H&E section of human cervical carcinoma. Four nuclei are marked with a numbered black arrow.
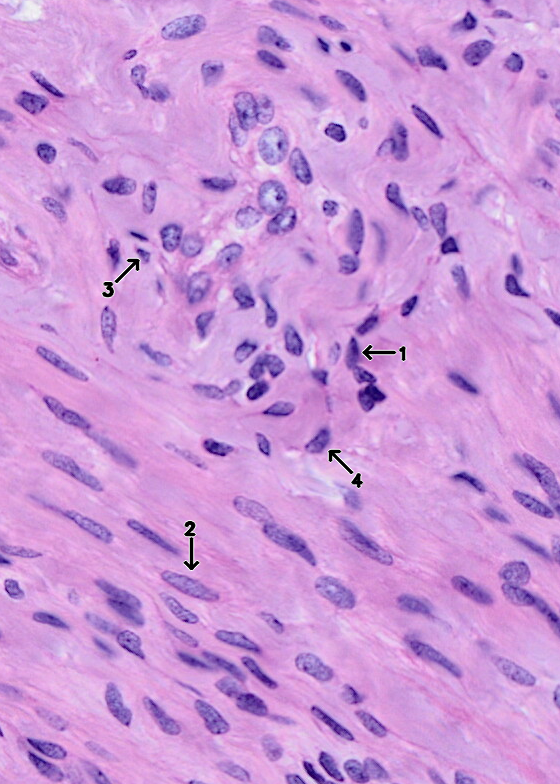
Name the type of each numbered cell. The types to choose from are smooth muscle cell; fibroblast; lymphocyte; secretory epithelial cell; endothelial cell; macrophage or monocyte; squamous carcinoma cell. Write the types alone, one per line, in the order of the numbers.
fibroblast
smooth muscle cell
fibroblast
fibroblast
